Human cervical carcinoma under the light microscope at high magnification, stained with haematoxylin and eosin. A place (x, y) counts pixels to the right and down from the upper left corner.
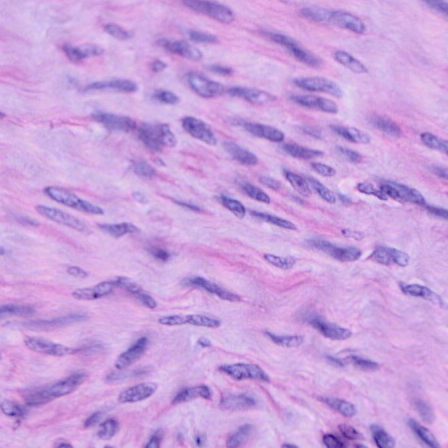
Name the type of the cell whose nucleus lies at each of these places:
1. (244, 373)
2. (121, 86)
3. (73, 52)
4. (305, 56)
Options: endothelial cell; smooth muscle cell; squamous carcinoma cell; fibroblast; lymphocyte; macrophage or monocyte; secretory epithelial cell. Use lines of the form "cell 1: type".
cell 1: smooth muscle cell
cell 2: fibroblast
cell 3: smooth muscle cell
cell 4: smooth muscle cell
